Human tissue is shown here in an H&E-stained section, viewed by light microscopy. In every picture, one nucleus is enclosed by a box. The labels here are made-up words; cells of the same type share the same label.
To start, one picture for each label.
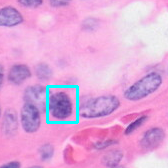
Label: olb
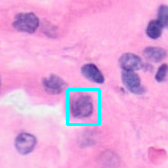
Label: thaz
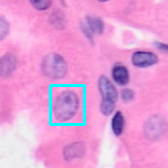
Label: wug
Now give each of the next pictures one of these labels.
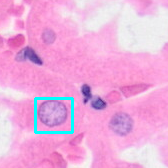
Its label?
wug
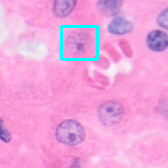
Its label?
wug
